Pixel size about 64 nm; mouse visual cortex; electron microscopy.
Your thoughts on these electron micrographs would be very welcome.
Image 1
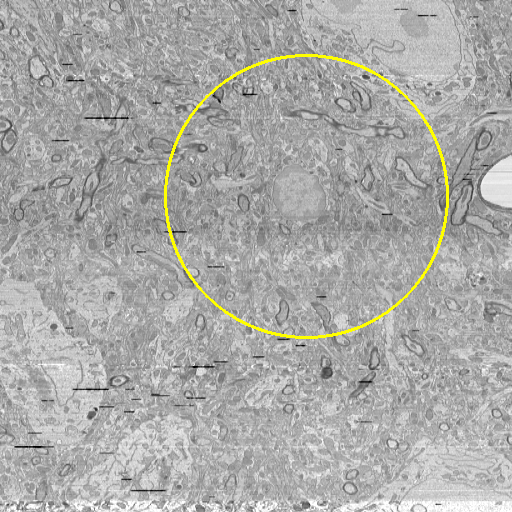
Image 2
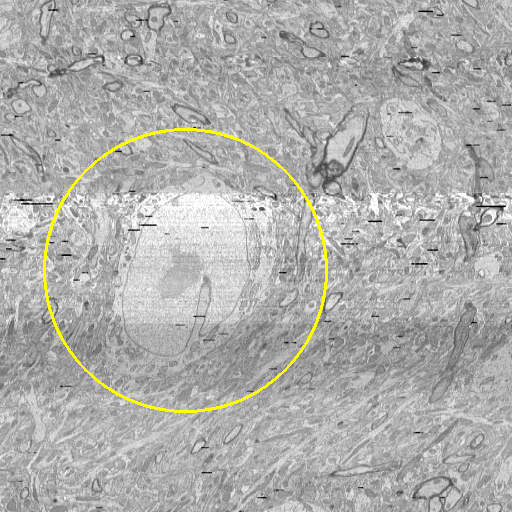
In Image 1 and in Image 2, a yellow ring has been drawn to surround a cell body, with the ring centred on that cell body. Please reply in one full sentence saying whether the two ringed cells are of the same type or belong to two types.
The ringed cells in Image 1 and Image 2 belong to two types.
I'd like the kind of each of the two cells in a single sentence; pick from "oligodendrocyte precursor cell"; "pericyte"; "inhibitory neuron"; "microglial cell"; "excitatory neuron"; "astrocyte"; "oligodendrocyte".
The first ring marks a microglial cell, and the second ring marks an excitatory neuron.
